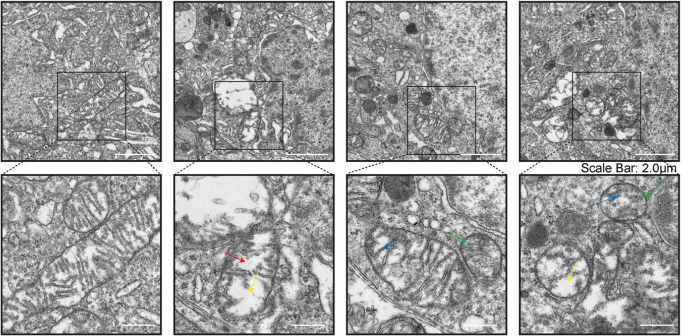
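In the other columns many mitochondria are rounded and swollen. Their matrix is pale and electron-lucent, and their cristae are sparse, fragmented or lost. The surrounding cytoplasm contains clear, empty-looking spaces. Coloured arrows on the enlarged views mark damaged mitochondria and their membranes and cristae.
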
